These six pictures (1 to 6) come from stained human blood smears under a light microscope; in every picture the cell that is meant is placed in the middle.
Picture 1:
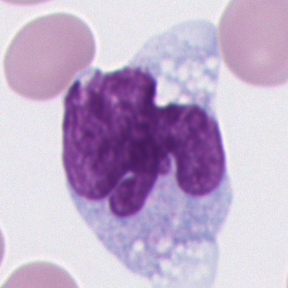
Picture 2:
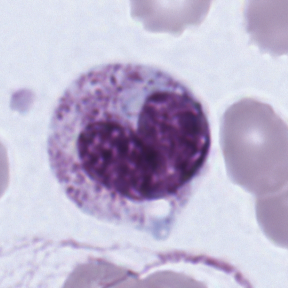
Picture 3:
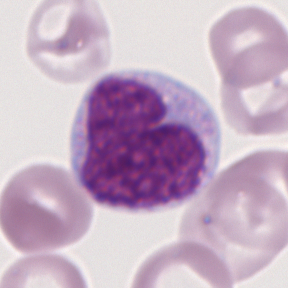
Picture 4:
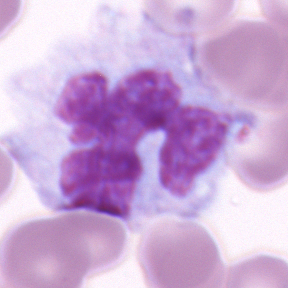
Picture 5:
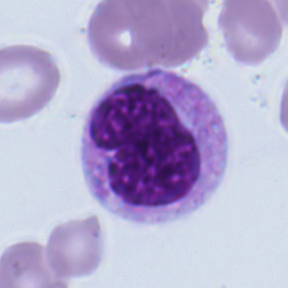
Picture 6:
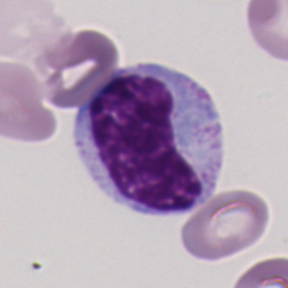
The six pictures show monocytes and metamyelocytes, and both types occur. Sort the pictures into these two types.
1: monocyte
2: metamyelocyte
3: monocyte
4: monocyte
5: metamyelocyte
6: metamyelocyte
